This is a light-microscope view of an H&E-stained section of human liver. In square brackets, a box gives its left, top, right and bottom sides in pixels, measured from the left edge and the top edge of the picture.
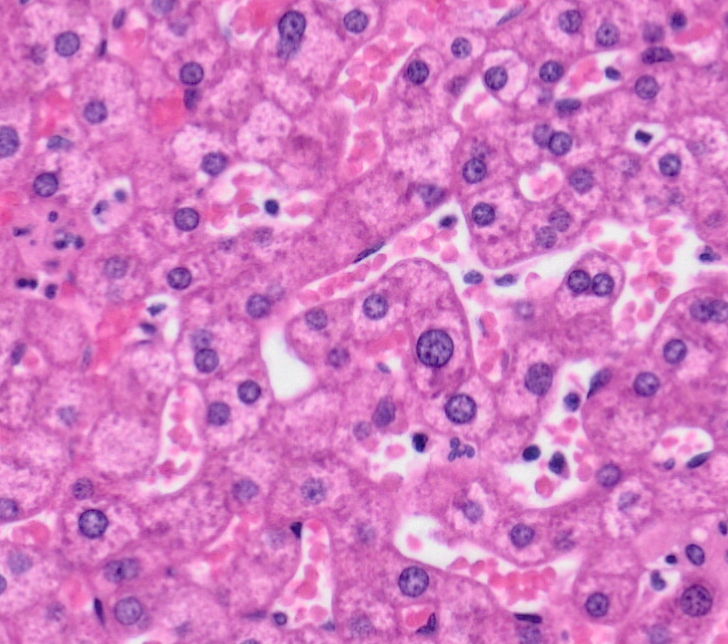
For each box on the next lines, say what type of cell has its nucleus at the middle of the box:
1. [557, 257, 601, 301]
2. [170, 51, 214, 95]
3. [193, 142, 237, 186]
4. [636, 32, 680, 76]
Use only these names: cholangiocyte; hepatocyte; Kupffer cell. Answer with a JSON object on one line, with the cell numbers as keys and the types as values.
{"1": "hepatocyte", "2": "hepatocyte", "3": "hepatocyte", "4": "Kupffer cell"}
